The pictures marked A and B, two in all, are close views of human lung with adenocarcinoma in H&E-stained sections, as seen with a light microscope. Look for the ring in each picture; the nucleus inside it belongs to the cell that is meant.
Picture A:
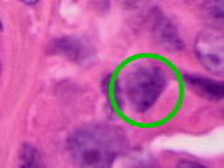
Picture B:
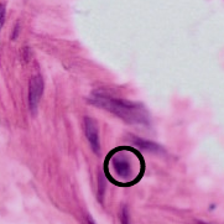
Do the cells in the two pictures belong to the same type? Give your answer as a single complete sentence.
No, the types are not the same, since picture A shows a carcinoma cell and picture B a “smooth muscle cell or pericyte”.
